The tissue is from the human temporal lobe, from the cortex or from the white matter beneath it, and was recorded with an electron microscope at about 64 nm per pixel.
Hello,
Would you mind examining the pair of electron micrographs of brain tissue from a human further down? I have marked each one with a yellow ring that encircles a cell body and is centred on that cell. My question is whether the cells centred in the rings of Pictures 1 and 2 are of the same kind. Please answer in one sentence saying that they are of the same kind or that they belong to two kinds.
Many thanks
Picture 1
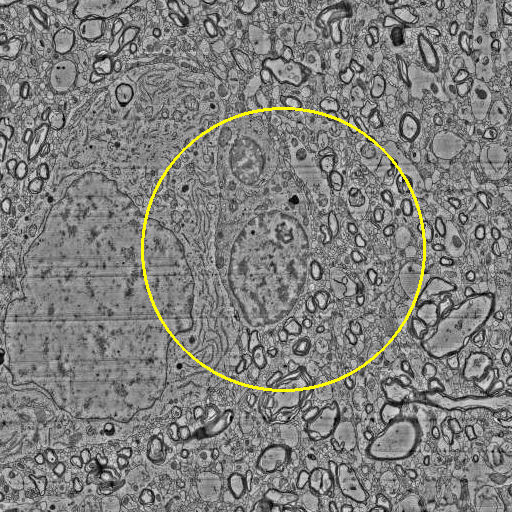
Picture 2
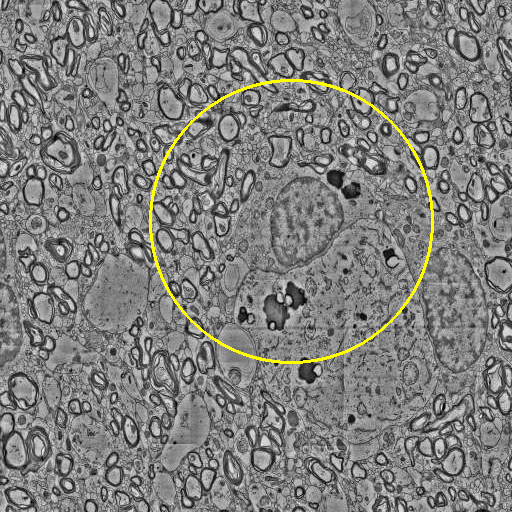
In Pictures 1 and 2, the cells at the heart of the rings are of the same kind.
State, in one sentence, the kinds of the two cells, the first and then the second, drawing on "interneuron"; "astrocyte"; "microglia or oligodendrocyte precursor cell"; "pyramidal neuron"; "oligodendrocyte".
Each of the two rings surrounds an oligodendrocyte.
